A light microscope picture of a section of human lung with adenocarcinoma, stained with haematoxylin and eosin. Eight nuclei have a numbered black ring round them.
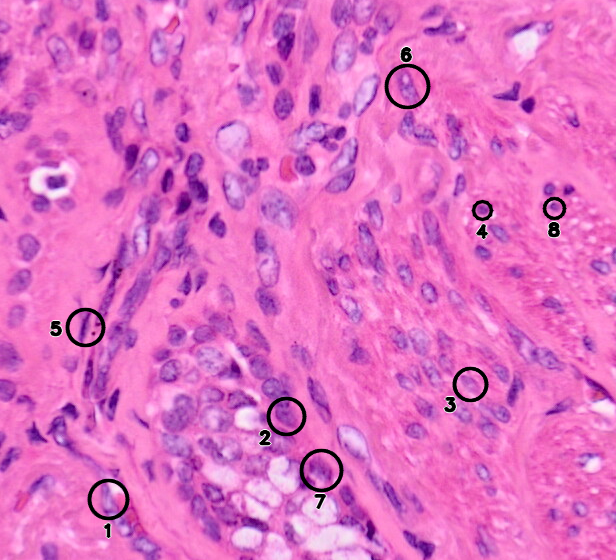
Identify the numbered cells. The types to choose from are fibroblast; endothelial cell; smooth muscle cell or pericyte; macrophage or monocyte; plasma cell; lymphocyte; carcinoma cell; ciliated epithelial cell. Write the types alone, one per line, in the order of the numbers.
endothelial cell
ciliated epithelial cell
smooth muscle cell or pericyte
smooth muscle cell or pericyte
fibroblast
smooth muscle cell or pericyte
ciliated epithelial cell
smooth muscle cell or pericyte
